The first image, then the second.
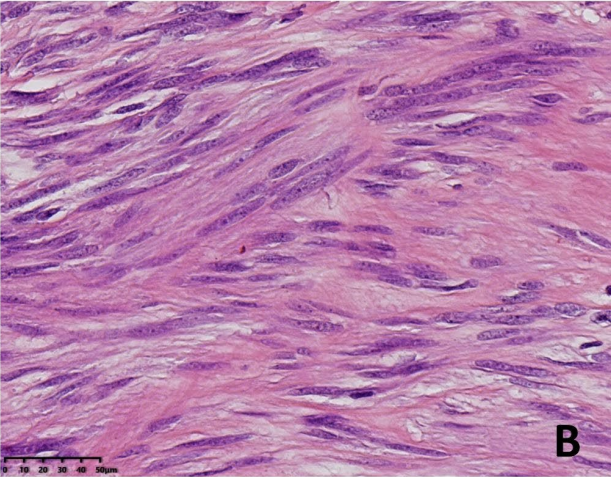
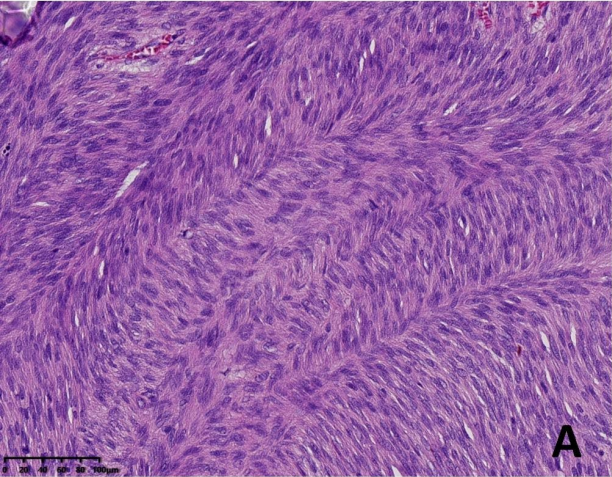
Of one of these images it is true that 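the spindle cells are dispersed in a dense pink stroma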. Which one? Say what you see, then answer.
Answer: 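First image: slender cells are separated by broad bands of pink collagen-like material. Second image: cells are tightly packed with almost no stroma between them.
The first image.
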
